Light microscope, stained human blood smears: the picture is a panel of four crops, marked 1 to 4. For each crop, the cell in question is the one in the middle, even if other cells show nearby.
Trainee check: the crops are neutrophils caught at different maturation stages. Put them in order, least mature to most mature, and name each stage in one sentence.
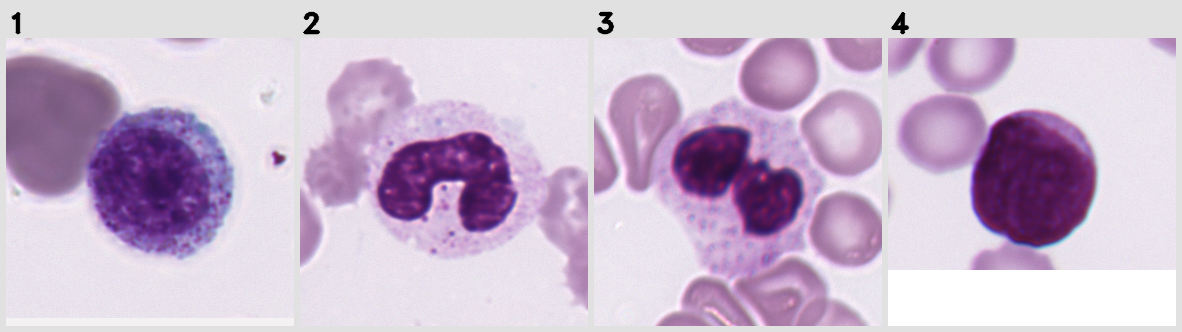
Maturity rises in the sequence crop 4 (a myeloblast), crop 1 (a myelocyte), crop 2 (a band neutrophil) and crop 3 (a segmented neutrophil).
